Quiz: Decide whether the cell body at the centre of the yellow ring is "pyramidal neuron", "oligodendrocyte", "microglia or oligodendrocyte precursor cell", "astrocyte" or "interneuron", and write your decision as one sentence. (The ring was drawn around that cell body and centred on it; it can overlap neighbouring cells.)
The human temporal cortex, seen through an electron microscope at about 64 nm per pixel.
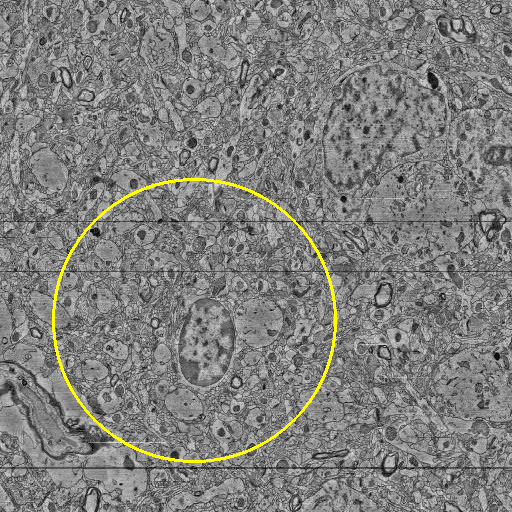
The cell the ring is centred on is a microglial cell or oligodendrocyte precursor cell.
